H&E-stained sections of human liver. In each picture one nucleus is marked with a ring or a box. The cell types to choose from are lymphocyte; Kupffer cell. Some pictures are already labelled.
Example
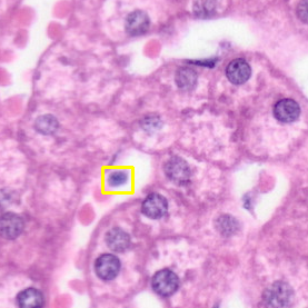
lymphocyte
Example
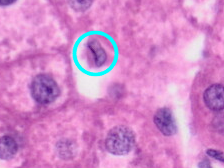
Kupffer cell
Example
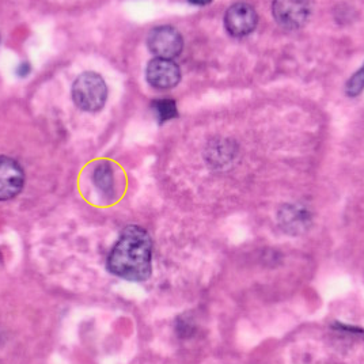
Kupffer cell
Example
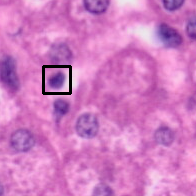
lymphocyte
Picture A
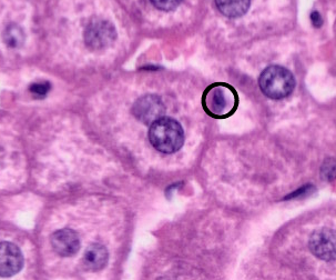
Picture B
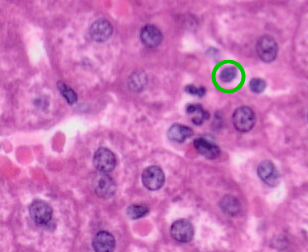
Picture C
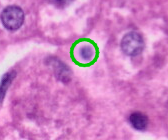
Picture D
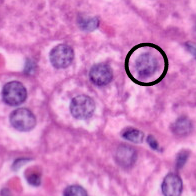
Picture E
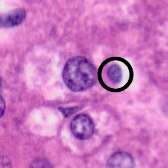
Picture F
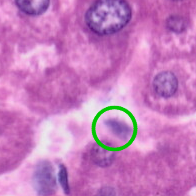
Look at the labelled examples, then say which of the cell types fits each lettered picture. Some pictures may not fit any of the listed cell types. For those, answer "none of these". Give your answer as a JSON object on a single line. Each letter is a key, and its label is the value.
{"A": "Kupffer cell", "B": "lymphocyte", "C": "lymphocyte", "D": "none of these", "E": "lymphocyte", "F": "Kupffer cell"}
